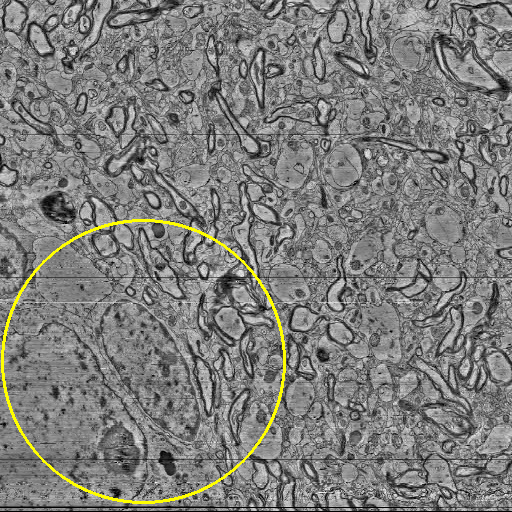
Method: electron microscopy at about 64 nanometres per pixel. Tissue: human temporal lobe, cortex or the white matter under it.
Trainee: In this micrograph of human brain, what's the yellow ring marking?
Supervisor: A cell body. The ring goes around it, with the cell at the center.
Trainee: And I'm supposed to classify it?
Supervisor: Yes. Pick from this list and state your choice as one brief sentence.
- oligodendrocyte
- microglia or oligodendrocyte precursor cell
The cell at the ring's center is a microglial cell or oligodendrocyte precursor cell.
